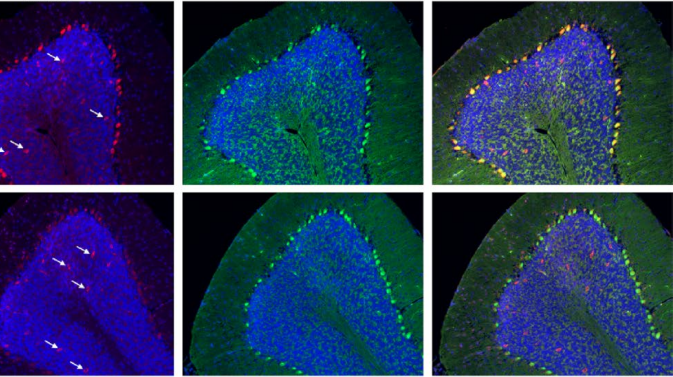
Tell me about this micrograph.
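This is a low-power view of a cerebellar folium, with a core of tightly packed small blue nuclei forming the granular layer. In the upper row the red label falls on these Purkinje cells, so they appear yellow-orange where the colours are merged, whereas in the lower row the Purkinje cells are green only. Small, scattered red cells sit within the granular layer in both rows, and the white arrows point to them.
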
